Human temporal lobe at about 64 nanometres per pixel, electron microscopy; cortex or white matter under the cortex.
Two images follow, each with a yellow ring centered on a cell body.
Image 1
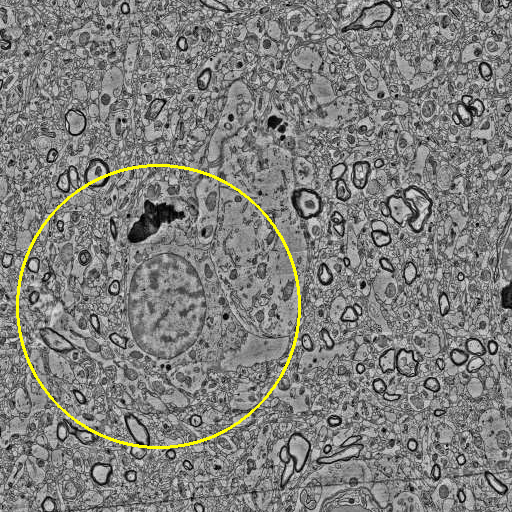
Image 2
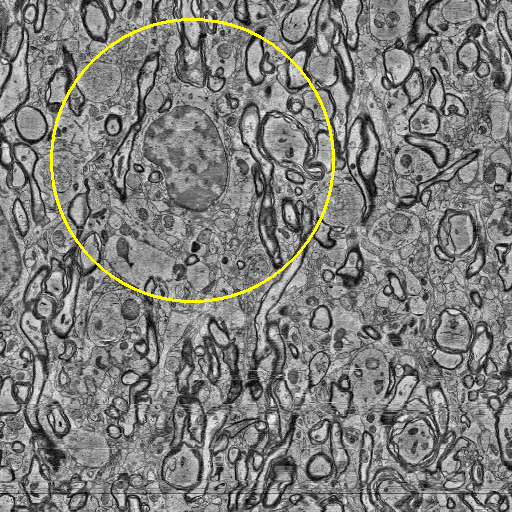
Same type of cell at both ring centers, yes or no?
no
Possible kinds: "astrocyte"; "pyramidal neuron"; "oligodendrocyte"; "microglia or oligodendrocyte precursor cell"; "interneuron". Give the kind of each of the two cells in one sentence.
The cell in the second picture is a microglial cell or oligodendrocyte precursor cell, and that in the first is an oligodendrocyte.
